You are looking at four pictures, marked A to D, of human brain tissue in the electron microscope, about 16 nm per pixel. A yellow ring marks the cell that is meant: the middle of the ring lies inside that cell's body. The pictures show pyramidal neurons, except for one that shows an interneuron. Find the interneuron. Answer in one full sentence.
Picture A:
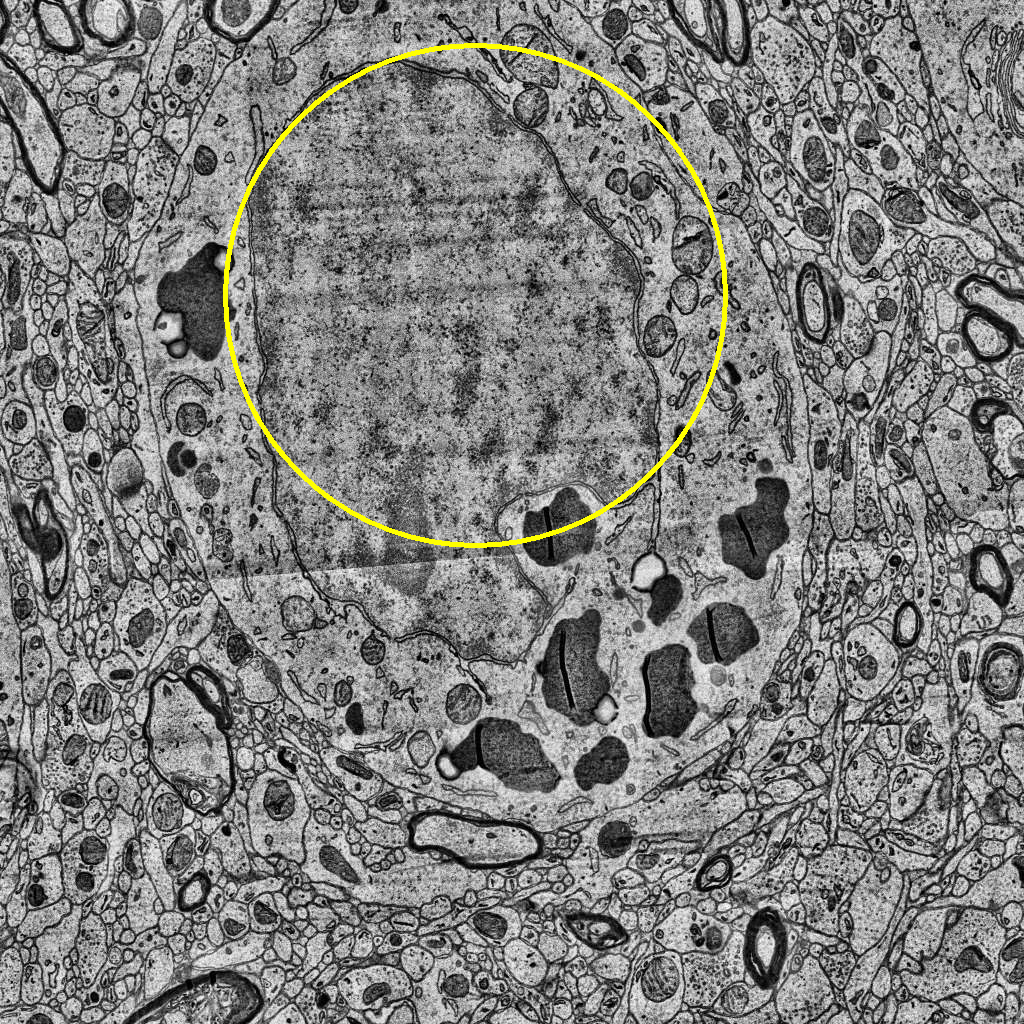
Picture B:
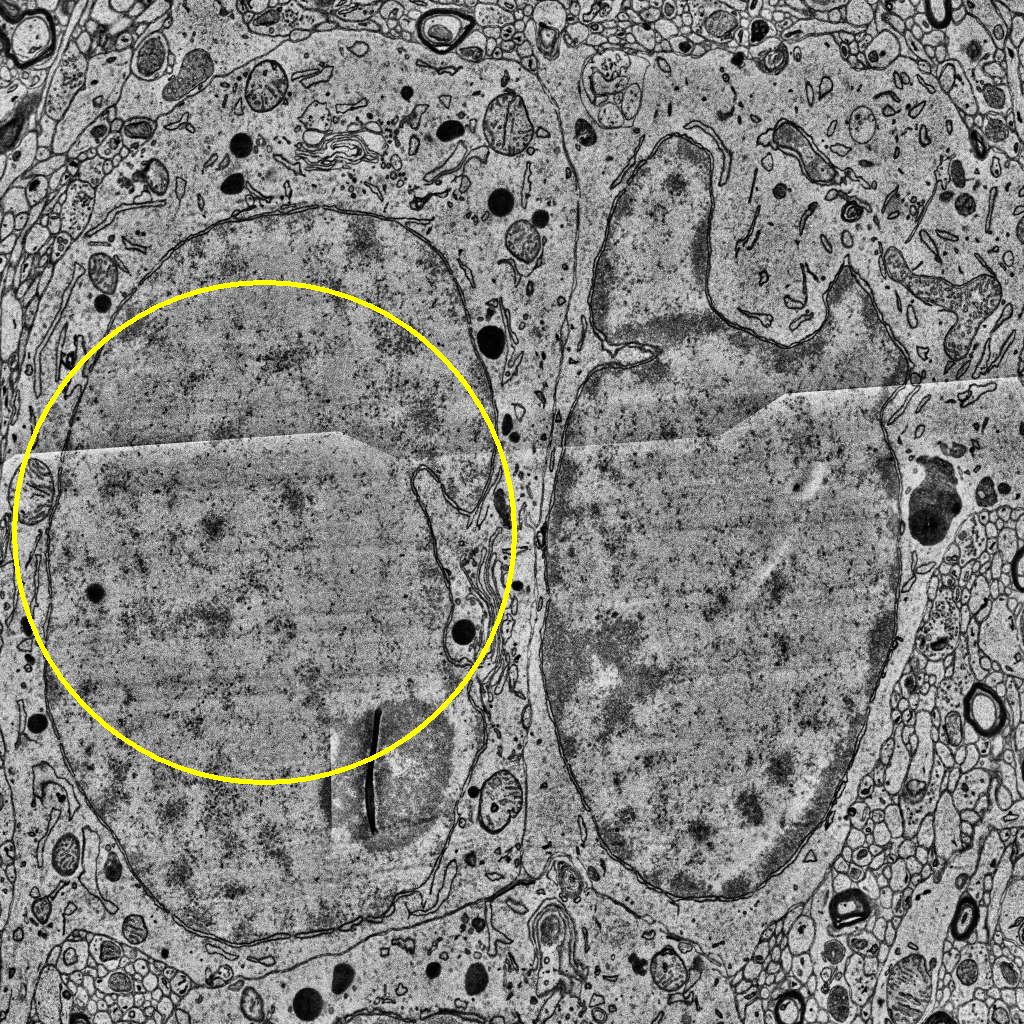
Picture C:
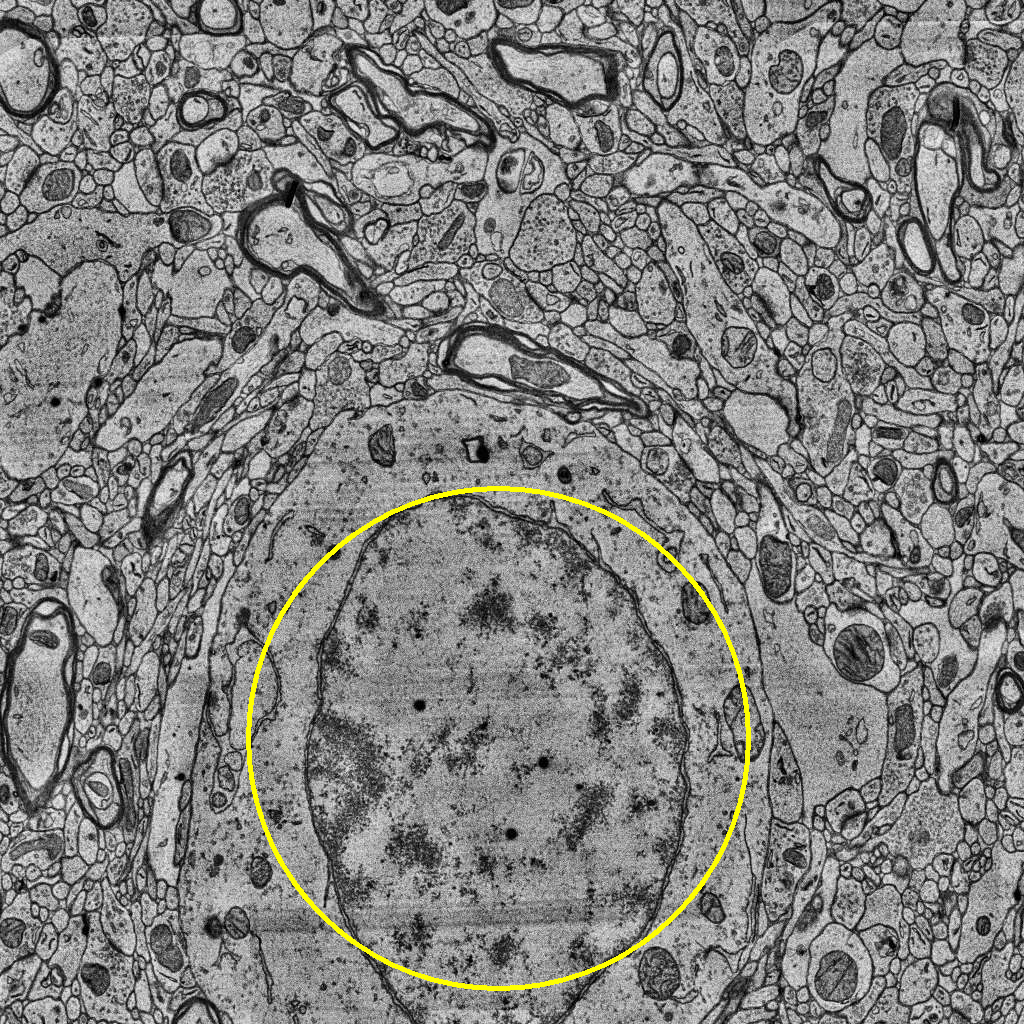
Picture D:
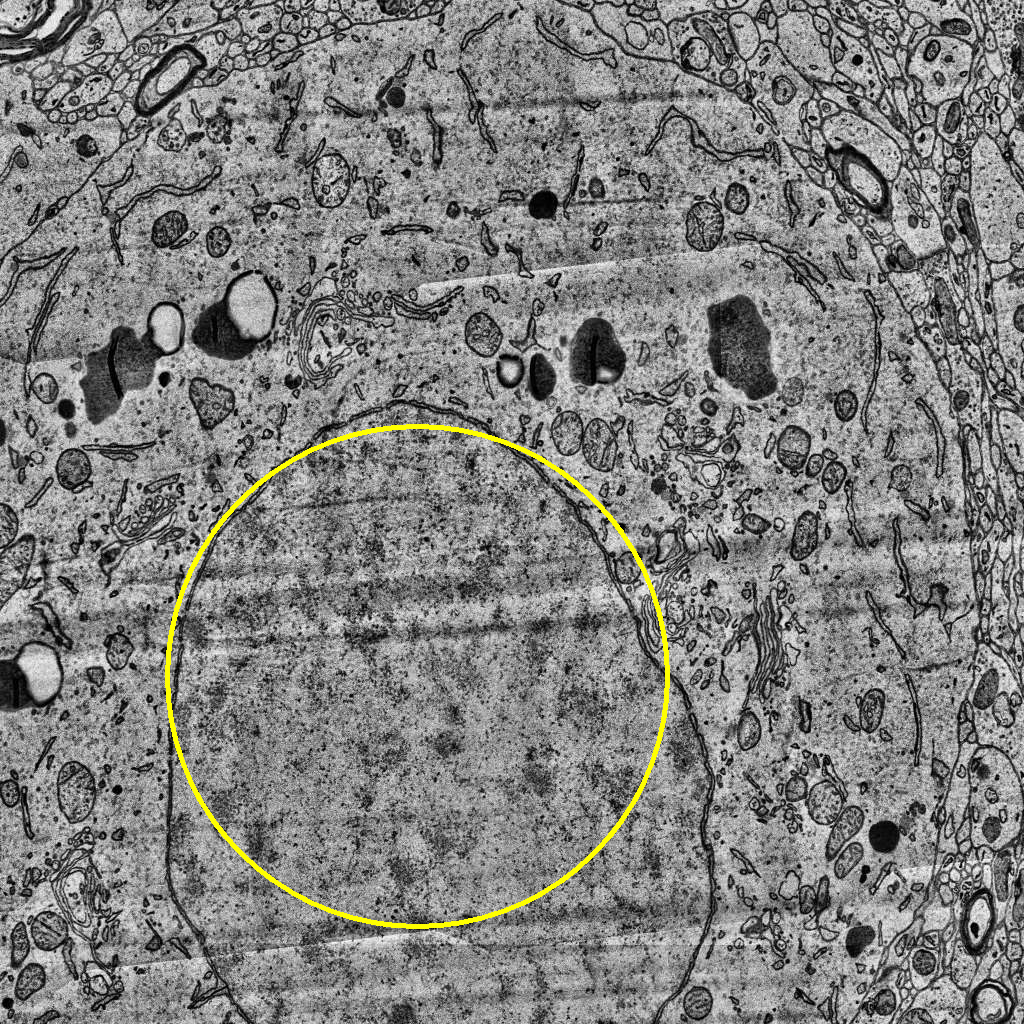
It is picture A that shows the interneuron.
